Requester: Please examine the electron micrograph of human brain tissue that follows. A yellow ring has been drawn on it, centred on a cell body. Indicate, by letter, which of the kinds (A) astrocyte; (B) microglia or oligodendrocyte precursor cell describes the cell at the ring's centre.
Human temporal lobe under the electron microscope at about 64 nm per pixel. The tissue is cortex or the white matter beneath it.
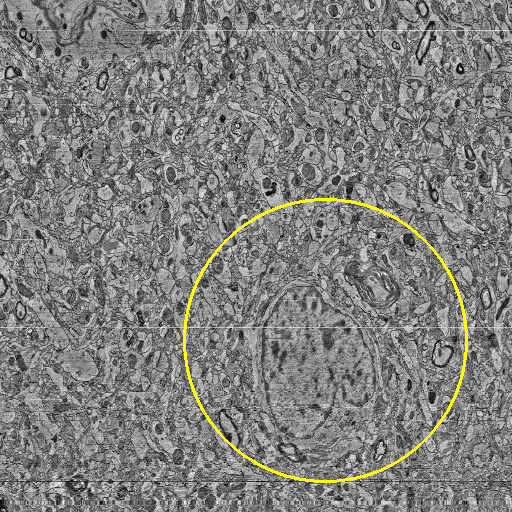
B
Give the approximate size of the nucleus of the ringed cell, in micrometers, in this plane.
In this plane, the nucleus of the cell at the centre of the ring measures about 10 by 7 micrometres.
